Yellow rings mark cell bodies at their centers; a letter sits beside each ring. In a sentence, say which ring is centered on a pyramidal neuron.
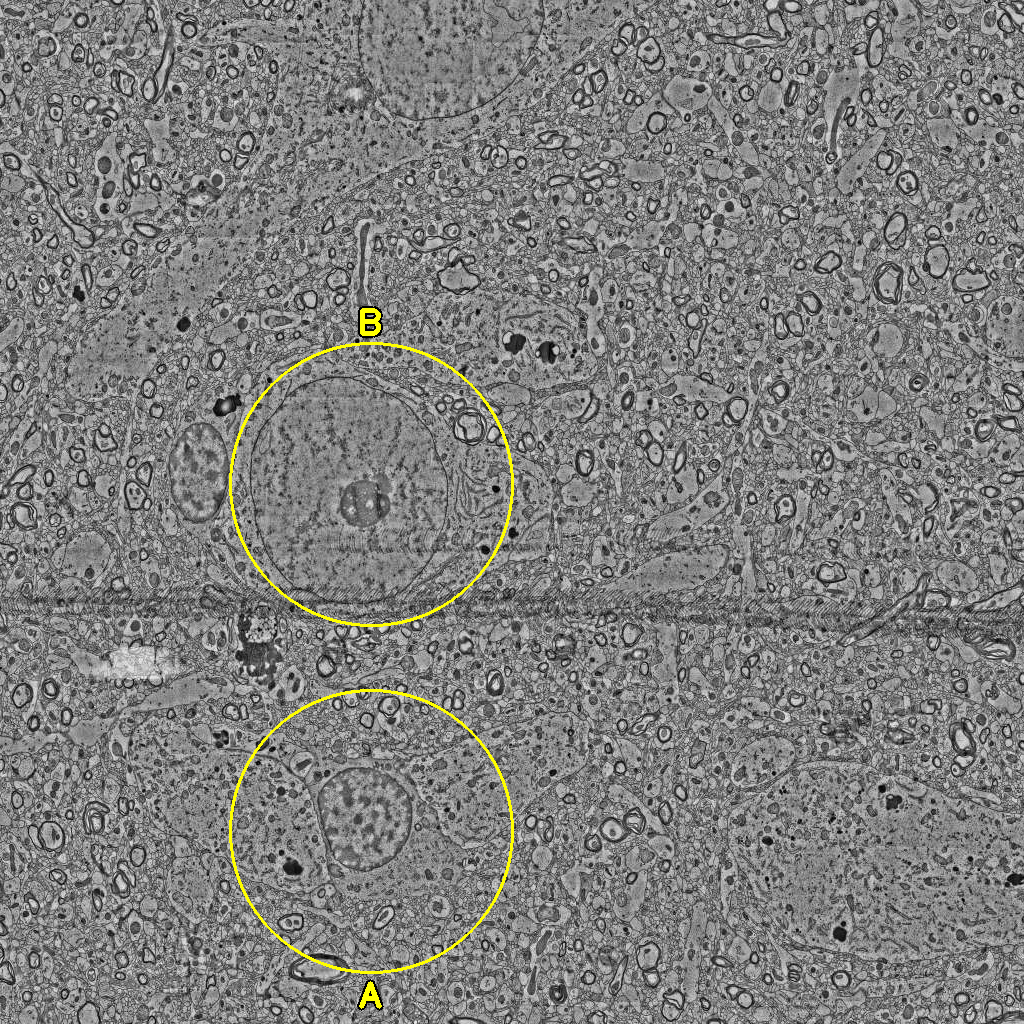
It is ring B.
